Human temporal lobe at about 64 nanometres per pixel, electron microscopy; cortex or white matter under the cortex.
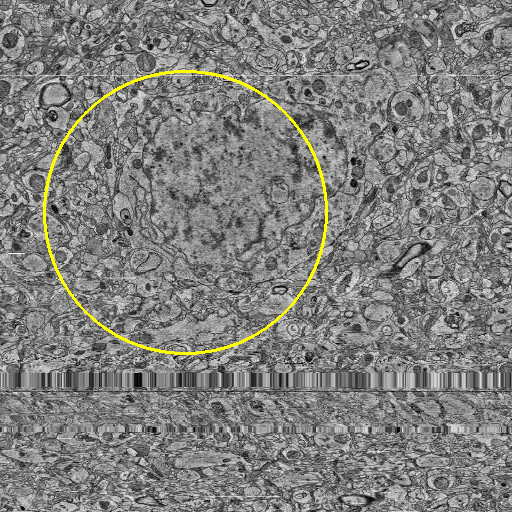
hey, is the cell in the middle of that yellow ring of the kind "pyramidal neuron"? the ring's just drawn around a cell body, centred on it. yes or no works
no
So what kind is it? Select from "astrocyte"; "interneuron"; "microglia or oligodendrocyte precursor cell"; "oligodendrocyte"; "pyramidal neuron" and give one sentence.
At the centre of the ring sits an interneuron.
